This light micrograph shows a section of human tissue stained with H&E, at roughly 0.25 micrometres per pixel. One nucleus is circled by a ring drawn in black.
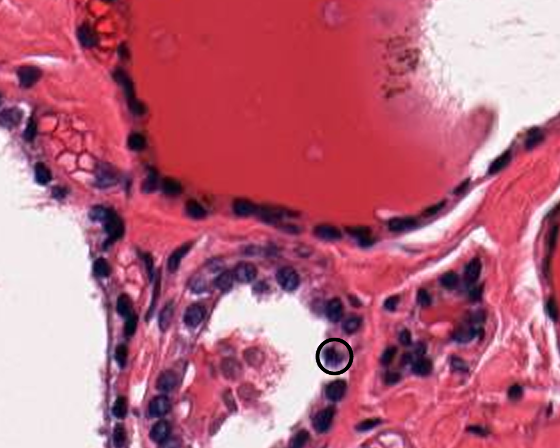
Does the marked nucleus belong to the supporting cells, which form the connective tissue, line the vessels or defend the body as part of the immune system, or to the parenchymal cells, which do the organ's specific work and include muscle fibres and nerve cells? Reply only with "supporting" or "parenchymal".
parenchymal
